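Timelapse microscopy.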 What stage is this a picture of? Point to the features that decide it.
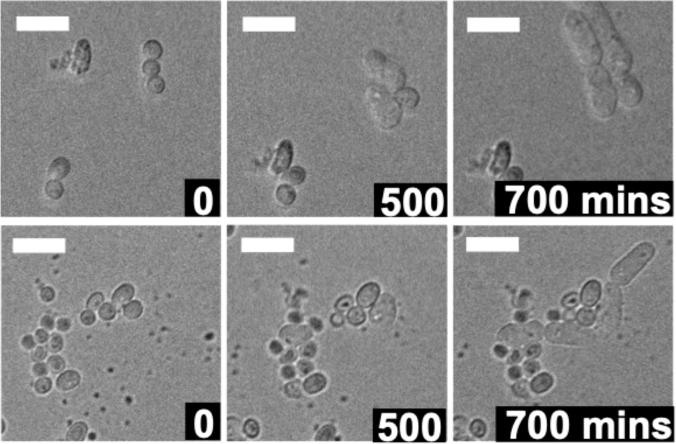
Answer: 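Germinating spores. Small round refractile bodies are present in the first frames. In later frames some of them are enlarged and swollen. Some cells in the last frames have grown out into elongated rod shapes.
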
